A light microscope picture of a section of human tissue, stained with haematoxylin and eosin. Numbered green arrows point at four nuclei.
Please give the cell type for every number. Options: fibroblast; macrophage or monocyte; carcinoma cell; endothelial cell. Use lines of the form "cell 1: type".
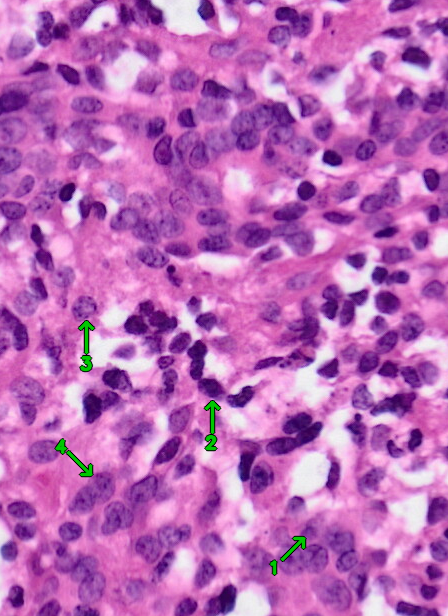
cell 1: carcinoma cell
cell 2: carcinoma cell
cell 3: macrophage or monocyte
cell 4: carcinoma cell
